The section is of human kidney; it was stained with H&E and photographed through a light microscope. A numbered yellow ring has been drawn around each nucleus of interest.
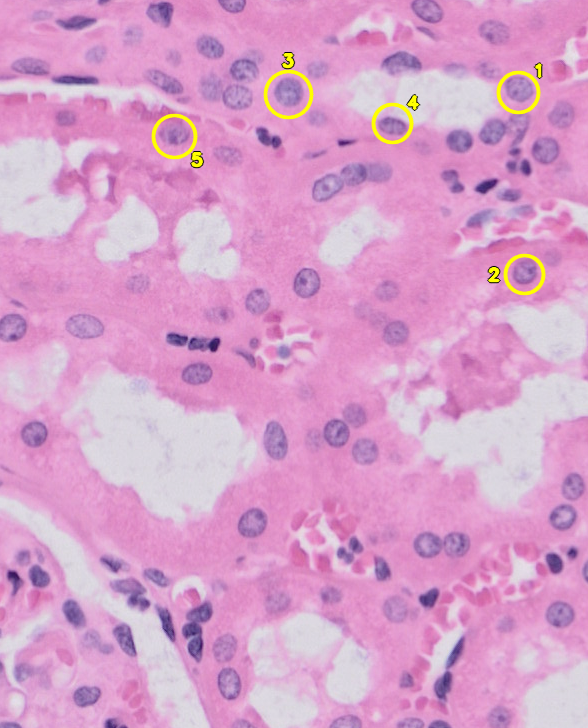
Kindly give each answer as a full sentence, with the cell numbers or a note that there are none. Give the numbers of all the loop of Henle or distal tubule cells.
Within this tissue, the cells numbered 1, 3 and 4 are loop of Henle or distal tubule cells.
